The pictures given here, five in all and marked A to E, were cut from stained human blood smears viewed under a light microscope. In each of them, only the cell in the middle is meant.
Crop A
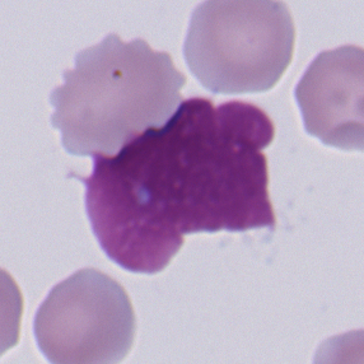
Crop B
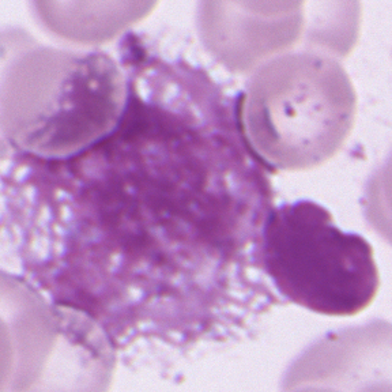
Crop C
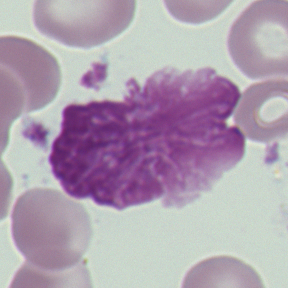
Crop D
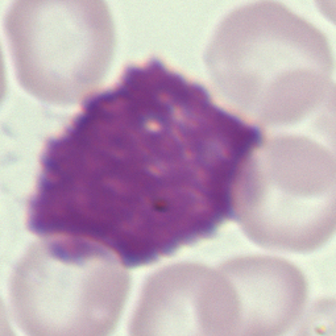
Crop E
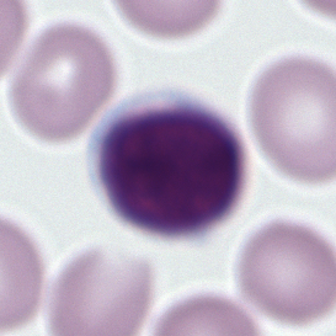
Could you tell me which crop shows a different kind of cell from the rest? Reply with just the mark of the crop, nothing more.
E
